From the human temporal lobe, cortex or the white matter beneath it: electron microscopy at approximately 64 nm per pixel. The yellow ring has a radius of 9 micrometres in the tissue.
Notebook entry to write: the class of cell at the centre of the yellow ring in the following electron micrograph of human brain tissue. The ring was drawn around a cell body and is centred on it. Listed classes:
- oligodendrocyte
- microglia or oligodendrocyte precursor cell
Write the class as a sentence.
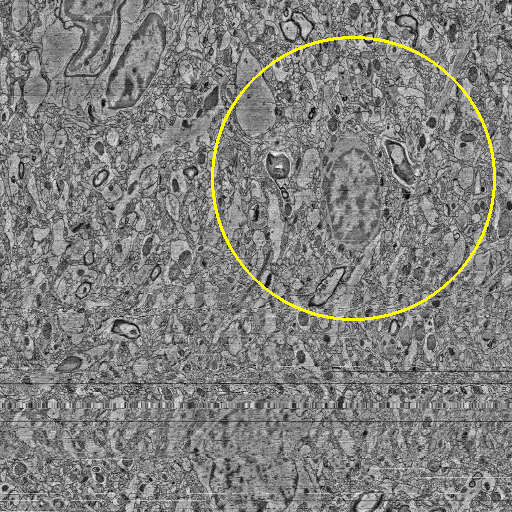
The yellow ring sits on an oligodendrocyte.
